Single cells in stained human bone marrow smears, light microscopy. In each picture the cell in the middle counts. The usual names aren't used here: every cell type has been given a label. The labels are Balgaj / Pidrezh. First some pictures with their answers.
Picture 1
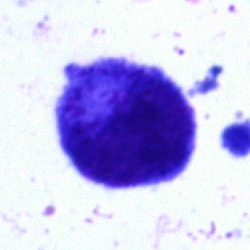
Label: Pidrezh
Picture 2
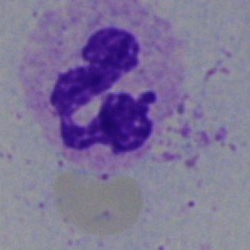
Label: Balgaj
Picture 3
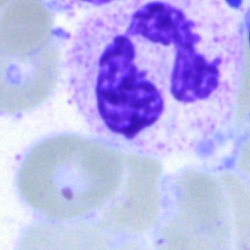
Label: Balgaj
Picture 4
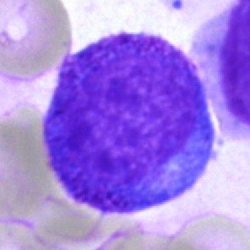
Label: Pidrezh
